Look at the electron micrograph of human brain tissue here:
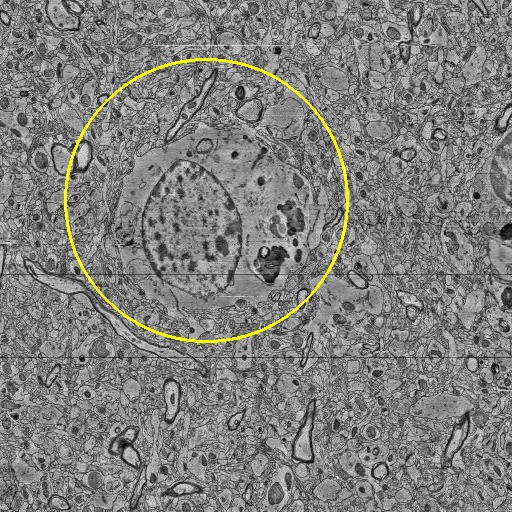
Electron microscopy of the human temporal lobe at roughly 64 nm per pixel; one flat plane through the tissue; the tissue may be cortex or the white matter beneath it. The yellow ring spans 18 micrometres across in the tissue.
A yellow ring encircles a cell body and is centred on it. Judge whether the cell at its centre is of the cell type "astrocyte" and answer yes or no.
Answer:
yes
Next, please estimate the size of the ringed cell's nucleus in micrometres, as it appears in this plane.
About 9 by 6 micrometres in this plane.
